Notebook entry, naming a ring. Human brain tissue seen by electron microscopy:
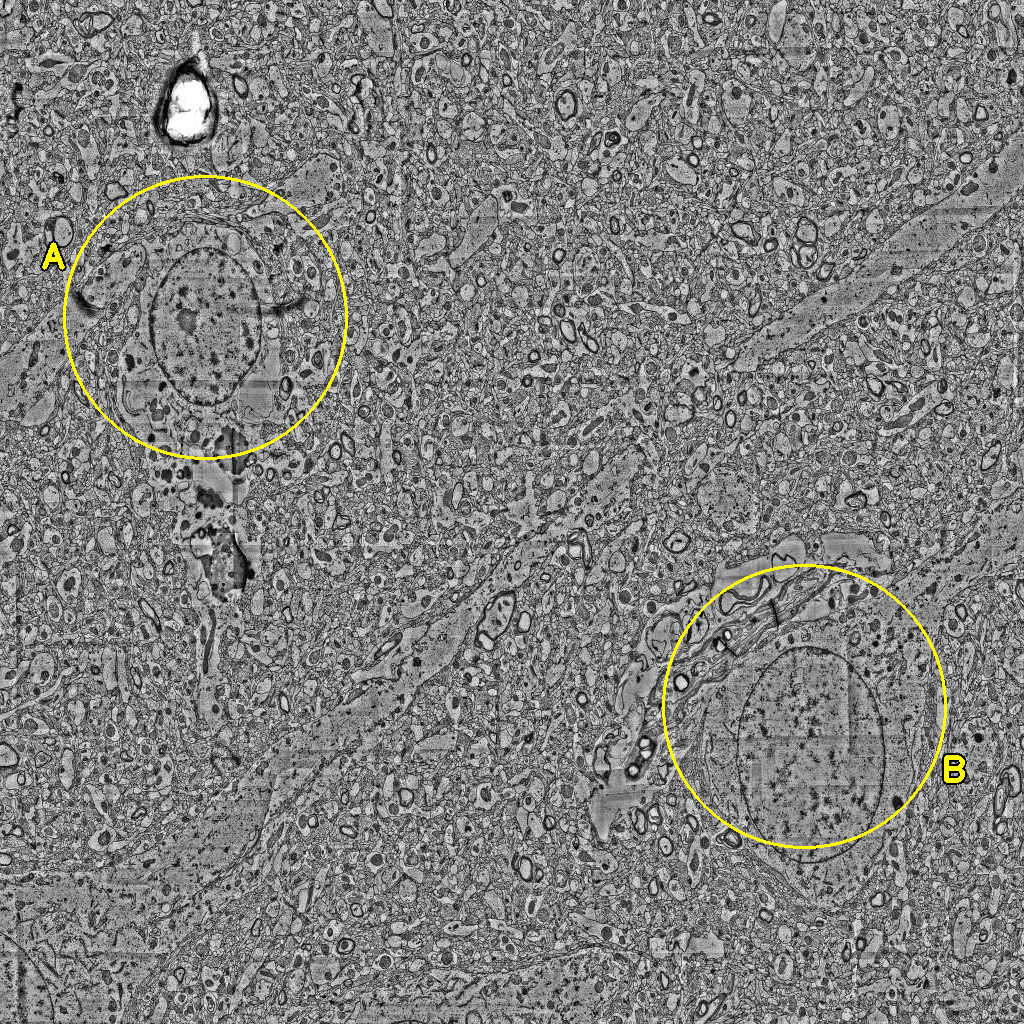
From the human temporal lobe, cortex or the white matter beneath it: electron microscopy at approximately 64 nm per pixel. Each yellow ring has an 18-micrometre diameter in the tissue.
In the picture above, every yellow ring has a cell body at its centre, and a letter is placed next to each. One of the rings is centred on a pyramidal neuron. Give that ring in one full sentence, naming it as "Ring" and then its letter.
Ring B is the ring whose centre holds the cell asked for.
